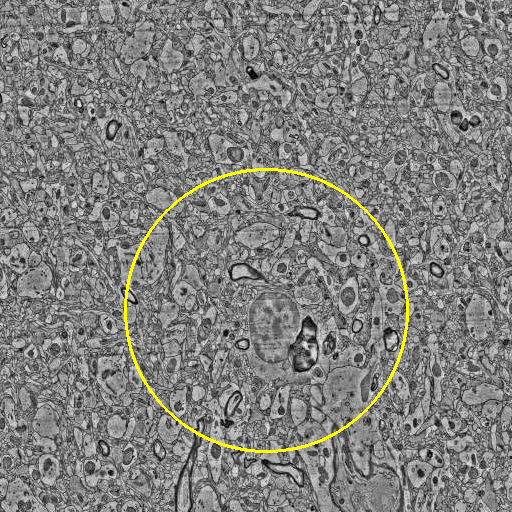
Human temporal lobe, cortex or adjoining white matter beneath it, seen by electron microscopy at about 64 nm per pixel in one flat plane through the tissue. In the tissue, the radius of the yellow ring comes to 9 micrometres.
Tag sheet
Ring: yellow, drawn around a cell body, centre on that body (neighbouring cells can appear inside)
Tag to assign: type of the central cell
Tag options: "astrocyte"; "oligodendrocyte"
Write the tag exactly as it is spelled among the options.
oligodendrocyte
